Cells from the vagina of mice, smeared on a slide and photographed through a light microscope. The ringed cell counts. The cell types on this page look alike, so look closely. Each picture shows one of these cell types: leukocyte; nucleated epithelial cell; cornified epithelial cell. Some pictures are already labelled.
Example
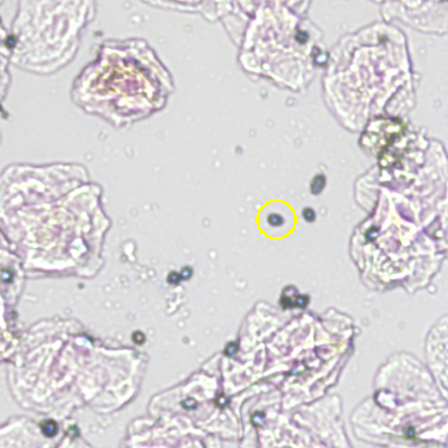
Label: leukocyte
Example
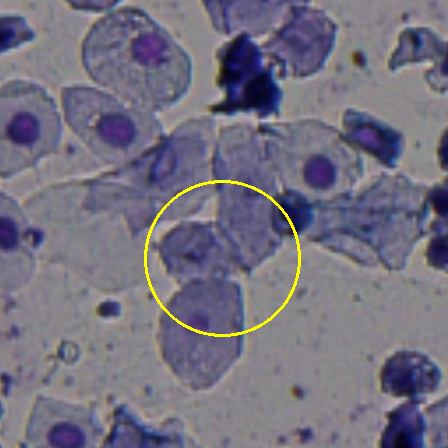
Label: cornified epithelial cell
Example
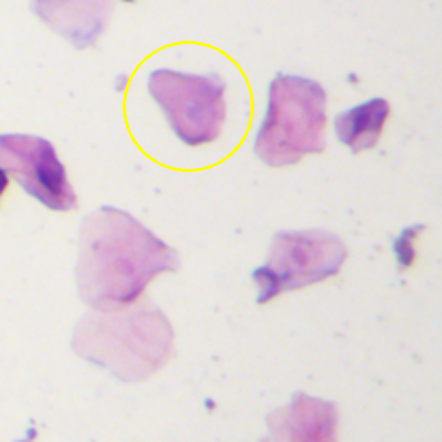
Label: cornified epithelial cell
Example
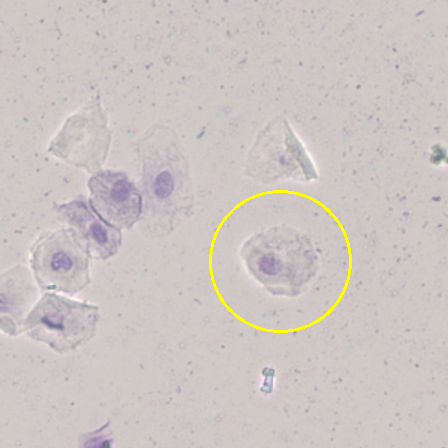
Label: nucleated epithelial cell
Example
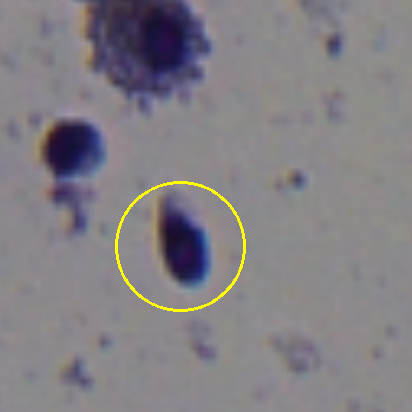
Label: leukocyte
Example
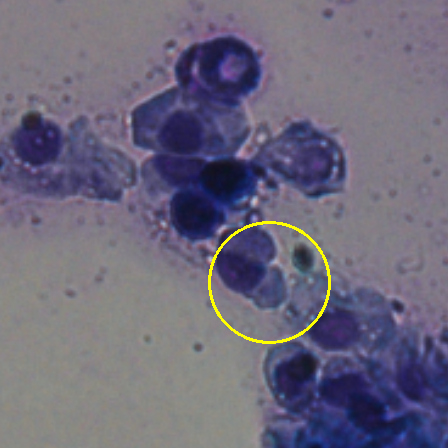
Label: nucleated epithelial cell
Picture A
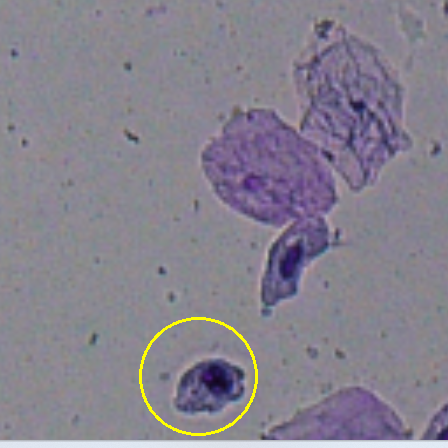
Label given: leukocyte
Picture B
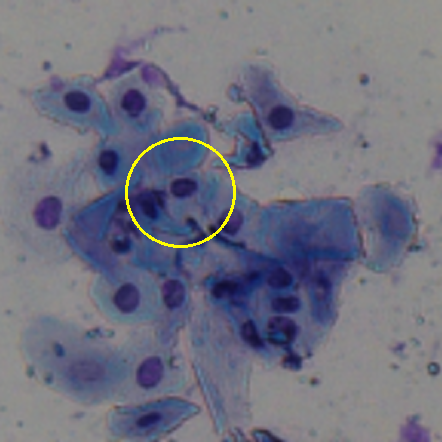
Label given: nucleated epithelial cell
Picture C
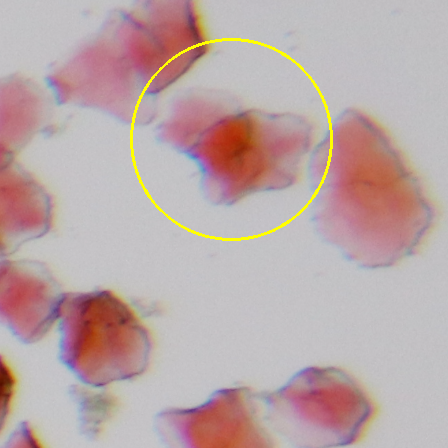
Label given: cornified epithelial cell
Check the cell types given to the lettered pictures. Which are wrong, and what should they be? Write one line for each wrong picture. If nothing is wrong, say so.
A: change leukocyte to nucleated epithelial cell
